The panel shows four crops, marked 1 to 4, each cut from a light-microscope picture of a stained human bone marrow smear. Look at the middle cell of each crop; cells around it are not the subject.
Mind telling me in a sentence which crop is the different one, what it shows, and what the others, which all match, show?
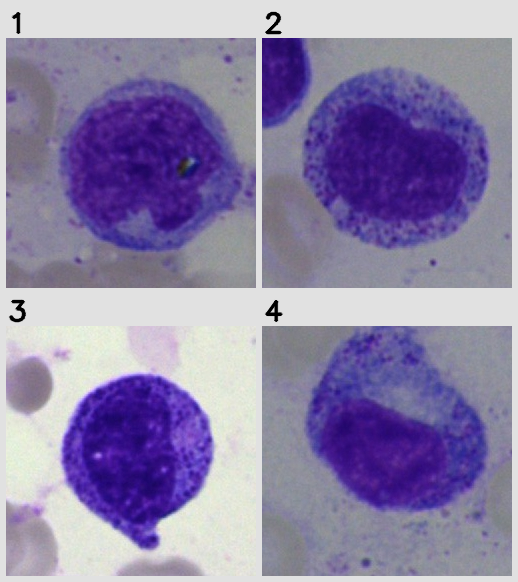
Of the crops, all show promyelocytes save crop 1, which shows a monocyte.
